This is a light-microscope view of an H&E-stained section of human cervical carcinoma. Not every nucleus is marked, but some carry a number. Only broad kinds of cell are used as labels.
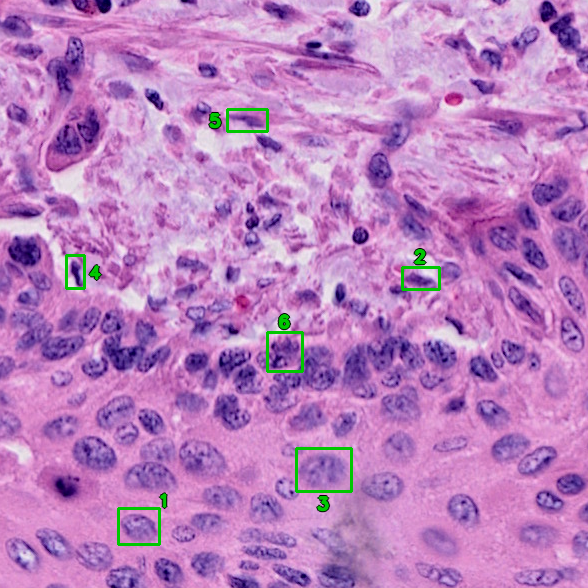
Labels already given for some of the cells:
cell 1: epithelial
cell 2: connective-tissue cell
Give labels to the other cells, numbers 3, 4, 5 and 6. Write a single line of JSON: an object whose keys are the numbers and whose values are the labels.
{"3": "epithelial", "4": "connective-tissue cell", "5": "connective-tissue cell", "6": "epithelial"}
